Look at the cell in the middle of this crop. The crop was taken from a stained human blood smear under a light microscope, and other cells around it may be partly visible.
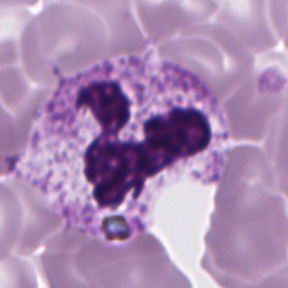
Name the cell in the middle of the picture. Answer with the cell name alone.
neutrophil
